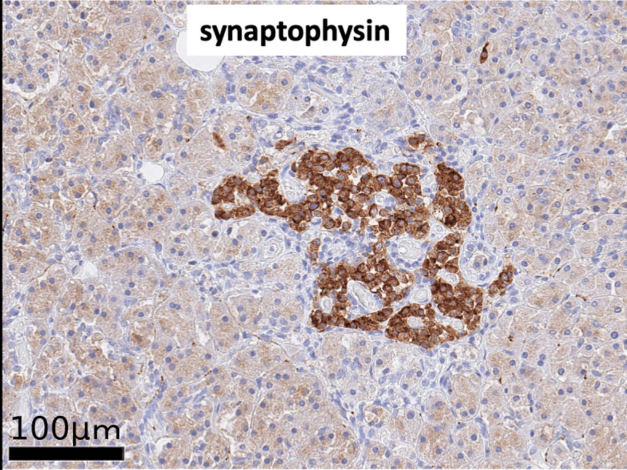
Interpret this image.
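A pancreatic islet appears as an irregular, lobulated cluster of small cells whose cytoplasm is stained dark brown, set among the surrounding exocrine acini. The acinar cells are arranged in small glands with round basal nuclei and only faint brownish cytoplasm, and thin strands of stroma separate the lobules.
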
